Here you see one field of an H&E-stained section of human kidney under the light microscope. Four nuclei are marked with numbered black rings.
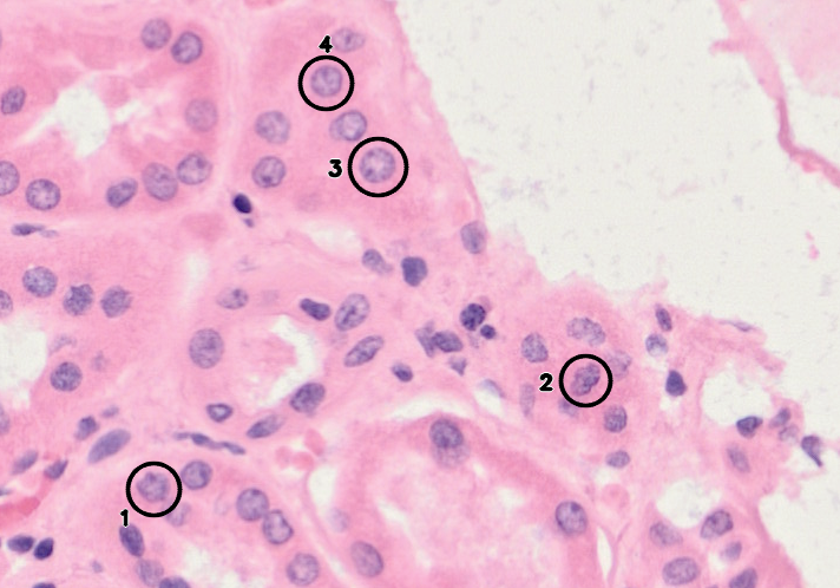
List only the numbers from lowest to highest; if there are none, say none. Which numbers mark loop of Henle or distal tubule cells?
2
